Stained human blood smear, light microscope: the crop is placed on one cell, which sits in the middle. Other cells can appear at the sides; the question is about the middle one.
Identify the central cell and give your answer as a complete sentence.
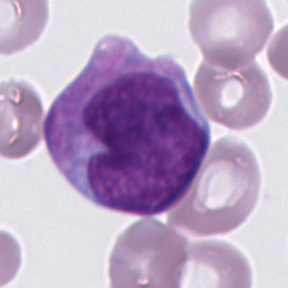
In the crop, the cell of interest at the centre is an atypical promyelocyte.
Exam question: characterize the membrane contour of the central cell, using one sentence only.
The periphery of this cell is uneven, with ragged portions or projections.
